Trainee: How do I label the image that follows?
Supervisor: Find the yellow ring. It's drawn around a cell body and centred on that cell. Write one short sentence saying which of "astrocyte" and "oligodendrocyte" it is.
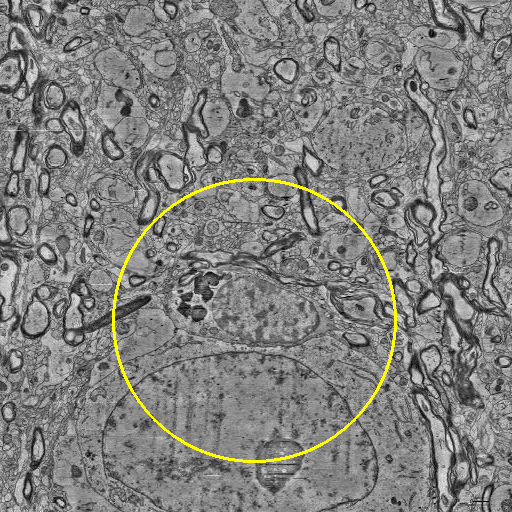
This is the cell body of an oligodendrocyte.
